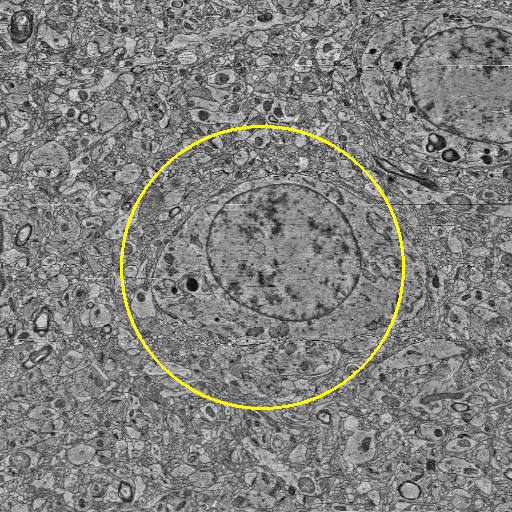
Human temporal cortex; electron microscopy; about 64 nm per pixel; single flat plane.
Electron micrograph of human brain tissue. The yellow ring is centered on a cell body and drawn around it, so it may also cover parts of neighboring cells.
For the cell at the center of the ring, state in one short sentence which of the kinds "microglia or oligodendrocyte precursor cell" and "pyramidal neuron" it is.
This ring is centered on a pyramidal neuron.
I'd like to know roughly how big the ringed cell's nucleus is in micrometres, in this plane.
Roughly 9 micrometres across, measured in this plane.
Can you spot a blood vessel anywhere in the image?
No, a blood vessel is absent from this picture.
